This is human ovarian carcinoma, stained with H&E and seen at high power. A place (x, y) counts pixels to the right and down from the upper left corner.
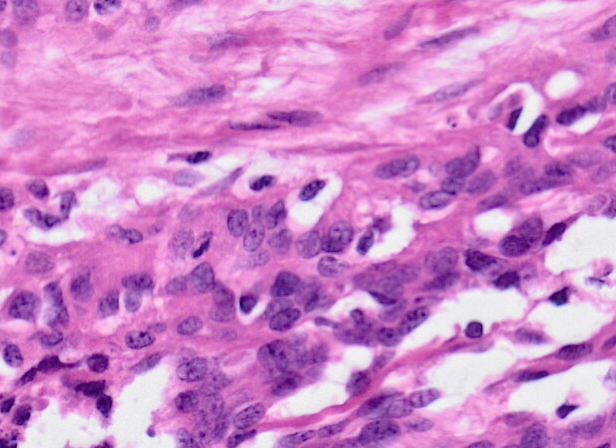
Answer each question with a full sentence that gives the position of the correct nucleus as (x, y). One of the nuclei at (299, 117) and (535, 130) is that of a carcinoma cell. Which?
The nucleus at (535, 130) is identified as belonging to a carcinoma cell.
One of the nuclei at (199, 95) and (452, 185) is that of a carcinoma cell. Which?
The nucleus belonging to a carcinoma cell is the one at (452, 185).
